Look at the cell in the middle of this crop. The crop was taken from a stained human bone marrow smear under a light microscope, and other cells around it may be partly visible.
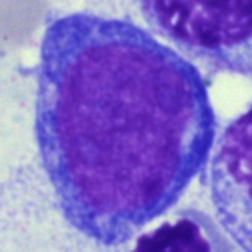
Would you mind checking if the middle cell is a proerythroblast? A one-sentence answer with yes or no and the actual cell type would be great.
Yes, the cell here in the middle is a proerythroblast.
